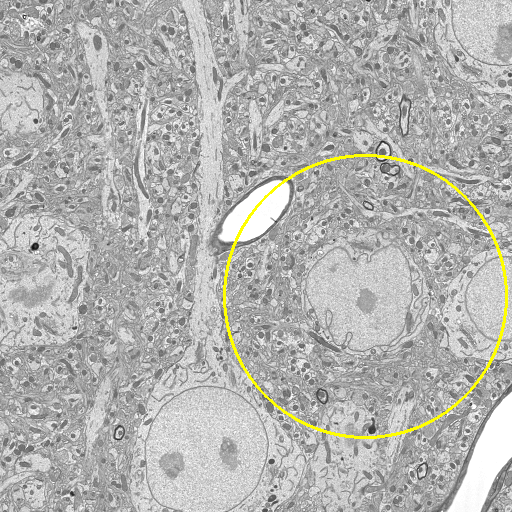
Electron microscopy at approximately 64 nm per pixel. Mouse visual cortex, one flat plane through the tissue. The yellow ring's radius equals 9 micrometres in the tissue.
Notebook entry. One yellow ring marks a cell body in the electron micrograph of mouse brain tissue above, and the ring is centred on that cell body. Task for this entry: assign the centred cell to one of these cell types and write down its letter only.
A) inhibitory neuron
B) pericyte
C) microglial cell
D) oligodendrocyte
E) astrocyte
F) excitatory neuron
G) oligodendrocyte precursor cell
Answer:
A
